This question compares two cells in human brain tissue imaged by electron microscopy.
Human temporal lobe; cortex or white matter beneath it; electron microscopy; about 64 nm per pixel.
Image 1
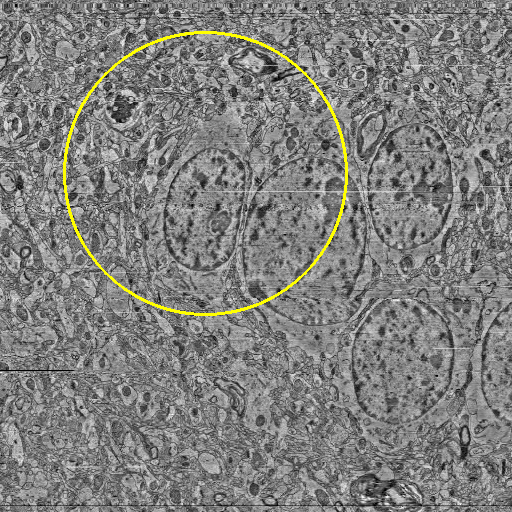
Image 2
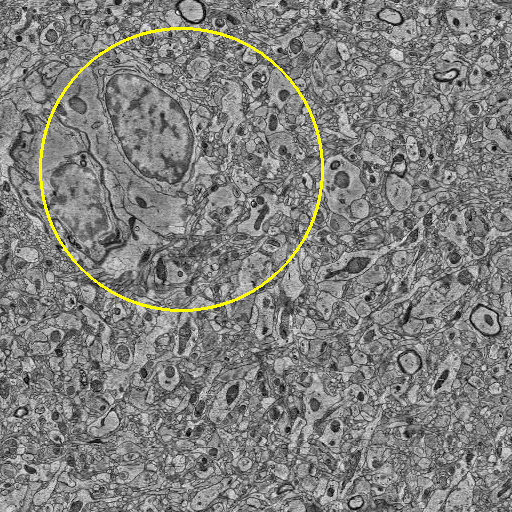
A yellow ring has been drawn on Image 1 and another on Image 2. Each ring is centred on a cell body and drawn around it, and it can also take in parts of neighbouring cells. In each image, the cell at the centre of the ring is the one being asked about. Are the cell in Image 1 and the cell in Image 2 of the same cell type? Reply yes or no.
no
